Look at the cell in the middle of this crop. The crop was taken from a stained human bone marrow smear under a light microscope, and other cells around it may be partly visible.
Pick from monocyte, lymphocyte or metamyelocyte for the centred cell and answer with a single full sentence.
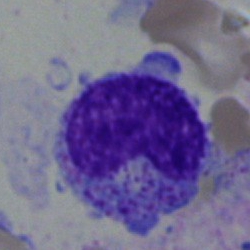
The cell shown in the center of this light-microscope crop is a metamyelocyte.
